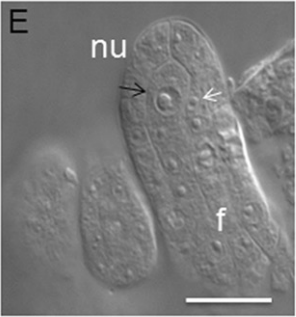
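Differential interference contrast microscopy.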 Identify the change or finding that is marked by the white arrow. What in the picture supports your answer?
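Abnormal, enlarged cell. The white arrow points to a cell inside the ovule lying next to a larger cell with a big nucleus and nucleolus.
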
